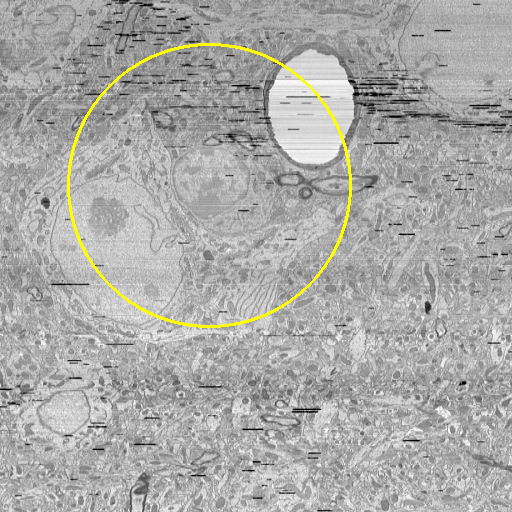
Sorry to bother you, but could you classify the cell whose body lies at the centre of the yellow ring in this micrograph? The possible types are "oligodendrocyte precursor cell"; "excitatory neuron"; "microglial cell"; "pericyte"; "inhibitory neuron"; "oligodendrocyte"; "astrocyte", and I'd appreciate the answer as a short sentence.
The ringed cell body is that of an oligodendrocyte.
